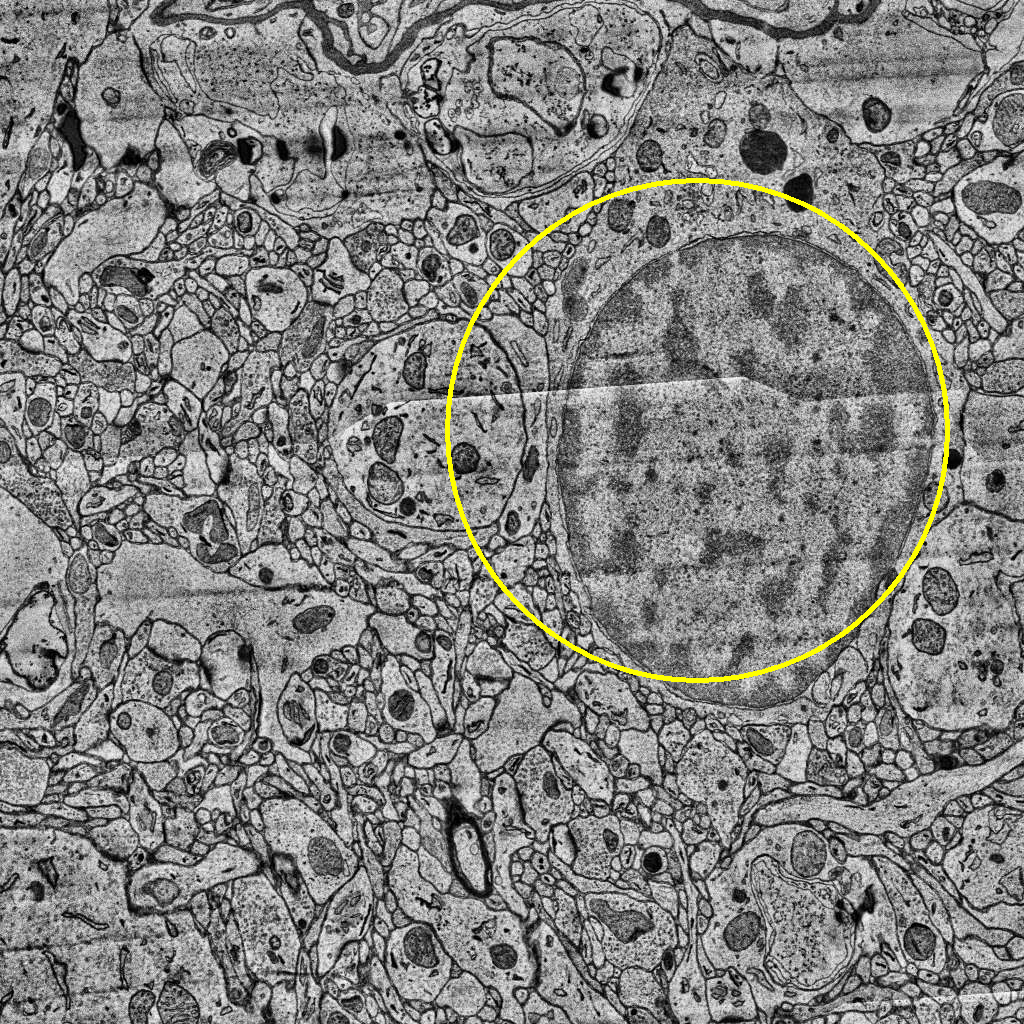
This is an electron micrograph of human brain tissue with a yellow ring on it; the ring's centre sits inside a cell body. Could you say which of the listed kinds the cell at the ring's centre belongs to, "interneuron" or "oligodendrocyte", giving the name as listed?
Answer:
oligodendrocyte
